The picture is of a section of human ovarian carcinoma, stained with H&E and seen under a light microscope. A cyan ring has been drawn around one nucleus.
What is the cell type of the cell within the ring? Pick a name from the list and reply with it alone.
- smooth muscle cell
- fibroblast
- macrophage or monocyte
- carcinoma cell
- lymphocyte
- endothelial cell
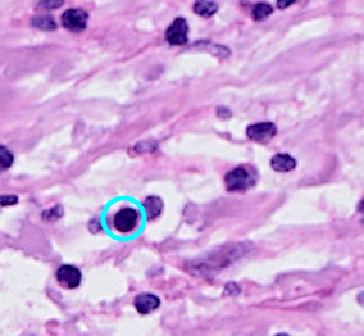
lymphocyte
